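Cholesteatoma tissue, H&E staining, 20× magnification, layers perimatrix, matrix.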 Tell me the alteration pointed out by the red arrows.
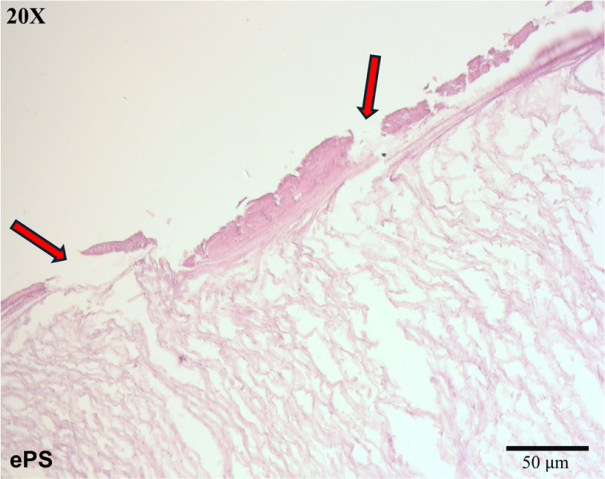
damage or breaks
